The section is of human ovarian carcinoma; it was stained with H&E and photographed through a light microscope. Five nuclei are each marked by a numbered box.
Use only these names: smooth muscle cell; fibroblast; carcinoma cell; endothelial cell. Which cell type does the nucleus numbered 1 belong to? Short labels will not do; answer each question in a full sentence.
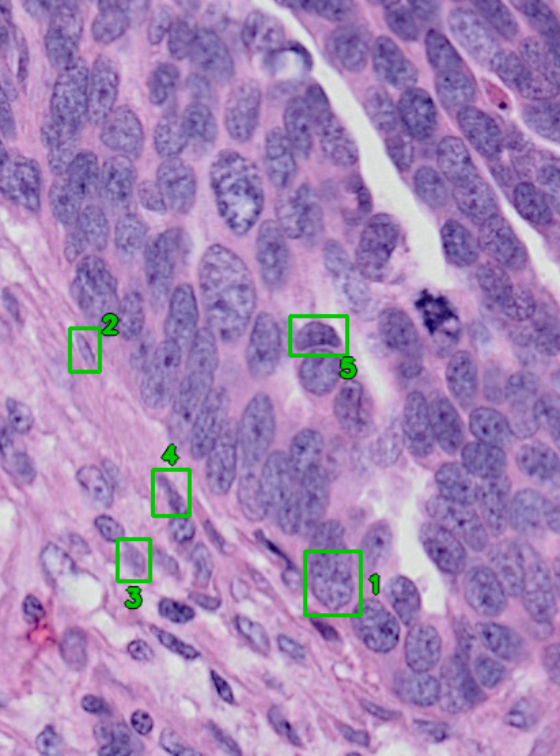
The cell numbered 1 represents a carcinoma cell.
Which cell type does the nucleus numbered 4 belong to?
What the number 4 marks in this field is a fibroblast.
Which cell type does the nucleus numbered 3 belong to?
The cell indicated by marker 3 is a fibroblast in this section.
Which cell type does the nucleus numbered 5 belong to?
The cell to which the number 5 is assigned is a carcinoma cell.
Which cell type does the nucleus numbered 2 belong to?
Cell number 2 in this section is a fibroblast.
